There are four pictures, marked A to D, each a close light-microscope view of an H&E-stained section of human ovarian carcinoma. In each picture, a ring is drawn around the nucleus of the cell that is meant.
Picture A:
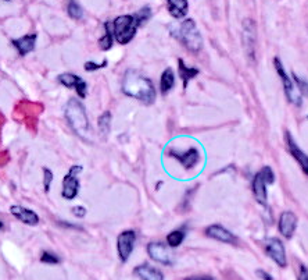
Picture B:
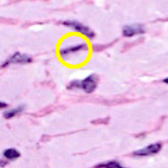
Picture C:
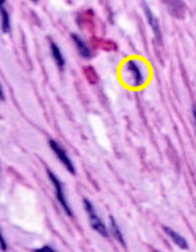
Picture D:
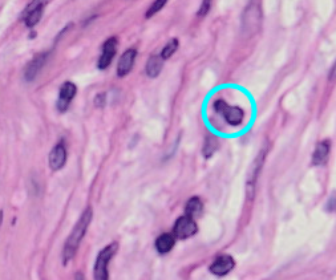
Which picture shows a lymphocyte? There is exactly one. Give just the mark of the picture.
D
